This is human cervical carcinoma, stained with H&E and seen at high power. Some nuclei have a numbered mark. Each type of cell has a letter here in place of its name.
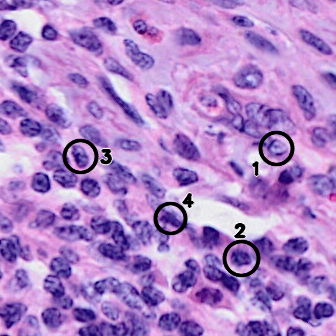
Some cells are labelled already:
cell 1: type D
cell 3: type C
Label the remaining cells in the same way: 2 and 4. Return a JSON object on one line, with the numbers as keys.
{"2": "type C", "4": "type C"}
